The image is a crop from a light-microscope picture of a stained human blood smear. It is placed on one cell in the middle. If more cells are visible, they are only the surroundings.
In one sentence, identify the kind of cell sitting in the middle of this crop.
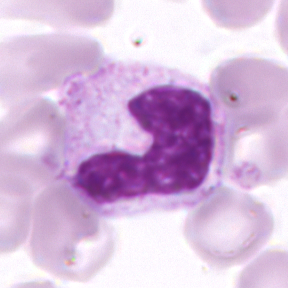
The centered cell in this crop is a band neutrophil.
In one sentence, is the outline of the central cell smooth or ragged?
An uneven margin is present, with either ragged stretches or outward projections.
